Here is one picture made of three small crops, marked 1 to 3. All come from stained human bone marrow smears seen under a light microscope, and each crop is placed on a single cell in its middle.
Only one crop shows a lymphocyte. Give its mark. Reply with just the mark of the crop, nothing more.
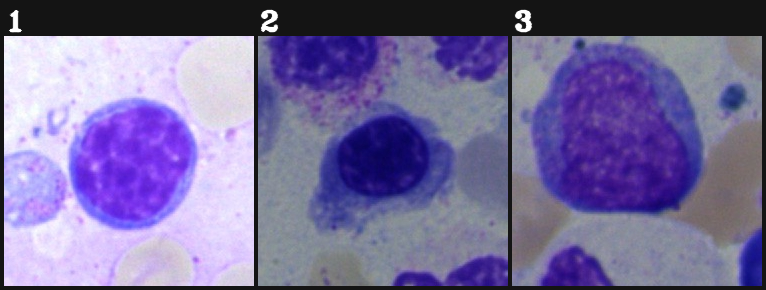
1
